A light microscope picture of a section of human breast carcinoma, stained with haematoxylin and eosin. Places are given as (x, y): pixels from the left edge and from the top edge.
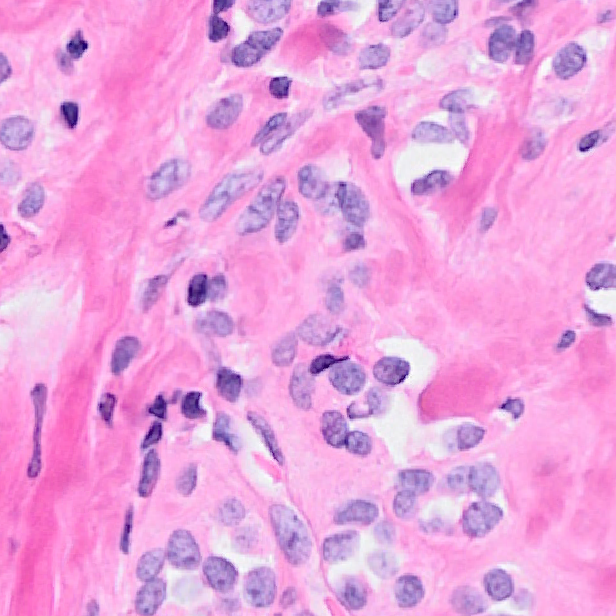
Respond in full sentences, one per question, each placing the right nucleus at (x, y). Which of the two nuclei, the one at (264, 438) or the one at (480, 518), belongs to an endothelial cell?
The nucleus located at (264, 438) is the one held within an endothelial cell.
